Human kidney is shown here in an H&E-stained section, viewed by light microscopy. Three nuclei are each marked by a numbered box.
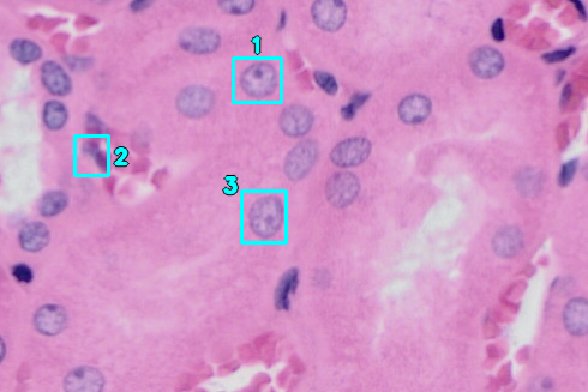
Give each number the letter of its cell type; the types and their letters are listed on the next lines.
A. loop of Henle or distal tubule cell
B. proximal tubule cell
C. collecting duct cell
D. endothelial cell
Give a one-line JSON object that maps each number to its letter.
{"1": "B", "2": "D", "3": "B"}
